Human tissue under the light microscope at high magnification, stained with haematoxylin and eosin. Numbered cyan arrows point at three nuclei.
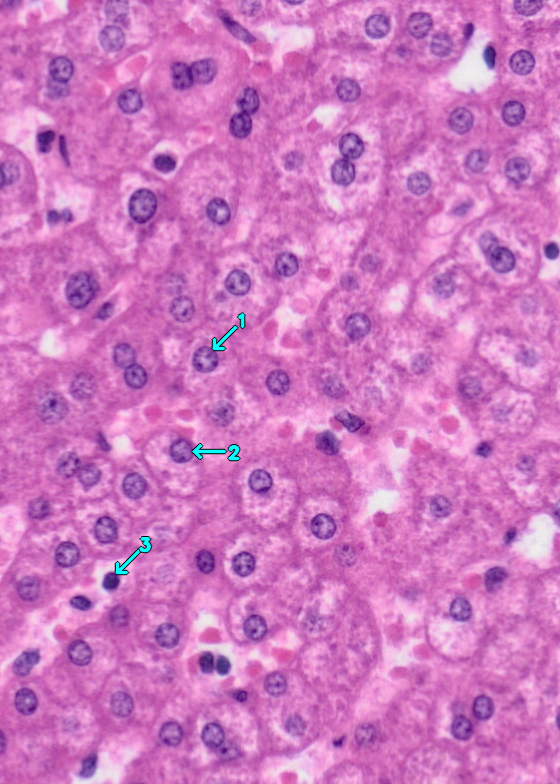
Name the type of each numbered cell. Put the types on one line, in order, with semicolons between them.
hepatocyte; hepatocyte; lymphocyte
